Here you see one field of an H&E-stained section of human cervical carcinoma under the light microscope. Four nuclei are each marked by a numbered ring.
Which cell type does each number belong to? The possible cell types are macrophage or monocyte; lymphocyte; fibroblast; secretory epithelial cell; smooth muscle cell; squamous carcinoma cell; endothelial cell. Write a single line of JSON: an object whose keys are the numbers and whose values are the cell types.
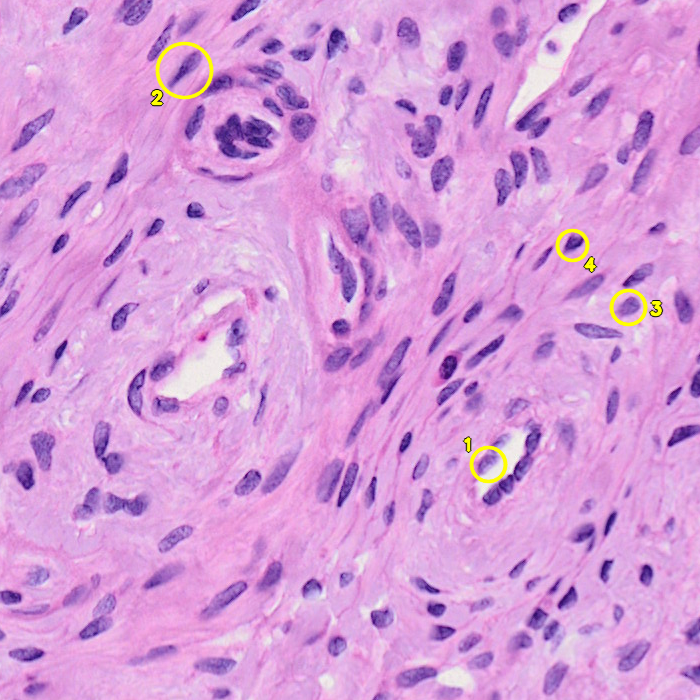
{"1": "endothelial cell", "2": "fibroblast", "3": "fibroblast", "4": "fibroblast"}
